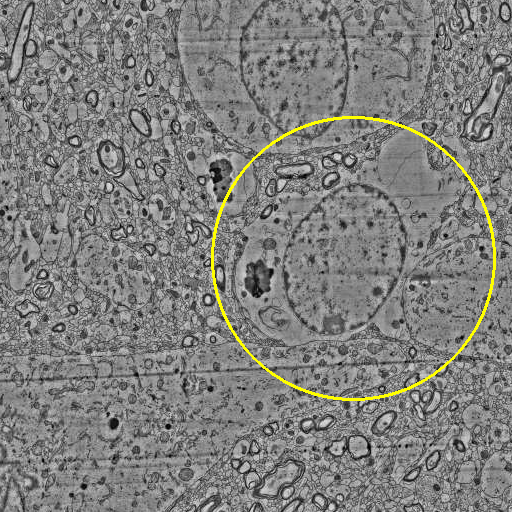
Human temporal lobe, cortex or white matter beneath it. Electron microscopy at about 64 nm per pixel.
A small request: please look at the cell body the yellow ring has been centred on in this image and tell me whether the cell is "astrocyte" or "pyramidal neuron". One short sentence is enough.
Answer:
The cell marked by the ring is an astrocyte.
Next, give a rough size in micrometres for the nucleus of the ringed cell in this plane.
The nucleus works out at approximately 10 by 7 micrometres in this plane.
